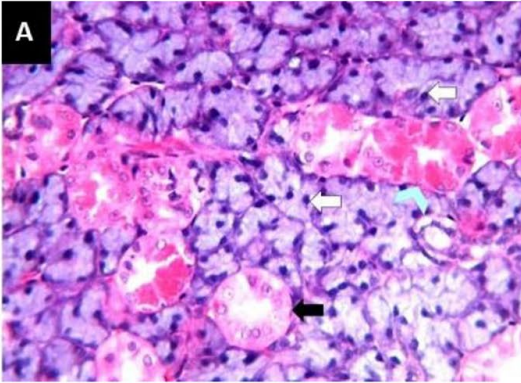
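This is serous salivary gland tissue with closely packed rounded acini whose pyramidal cells have purple cytoplasm and dark, basally placed nuclei. Between the acini lie ducts, seen as round or elongated profiles lined by pink-staining columnar cells around a central lumen, some containing pink secretion. The acini are regular in shape and tightly arranged, separated only by thin strands of connective tissue.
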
